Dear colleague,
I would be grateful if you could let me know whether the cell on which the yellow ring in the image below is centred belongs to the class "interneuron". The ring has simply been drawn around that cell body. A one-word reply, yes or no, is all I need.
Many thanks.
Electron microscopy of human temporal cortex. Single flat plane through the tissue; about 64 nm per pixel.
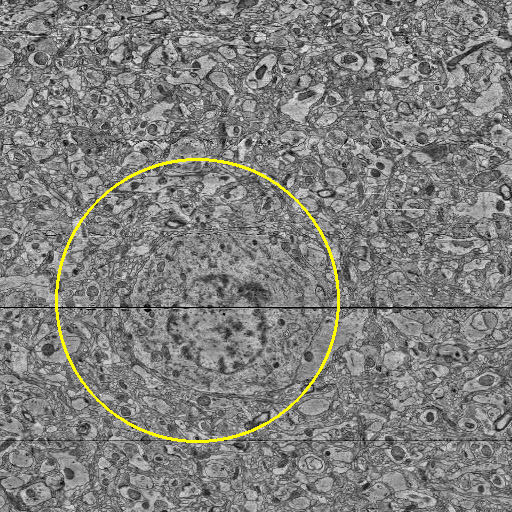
yes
